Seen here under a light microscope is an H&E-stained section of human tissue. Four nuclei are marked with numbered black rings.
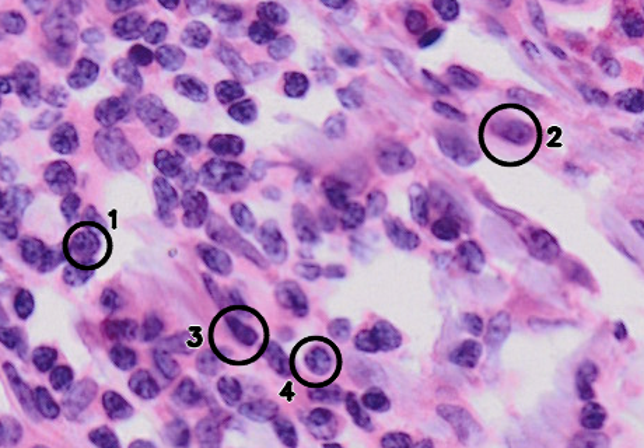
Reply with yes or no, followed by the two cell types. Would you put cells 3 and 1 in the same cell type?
Yes, within the numbered set, cells 3 and 1 are both lymphocytes.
